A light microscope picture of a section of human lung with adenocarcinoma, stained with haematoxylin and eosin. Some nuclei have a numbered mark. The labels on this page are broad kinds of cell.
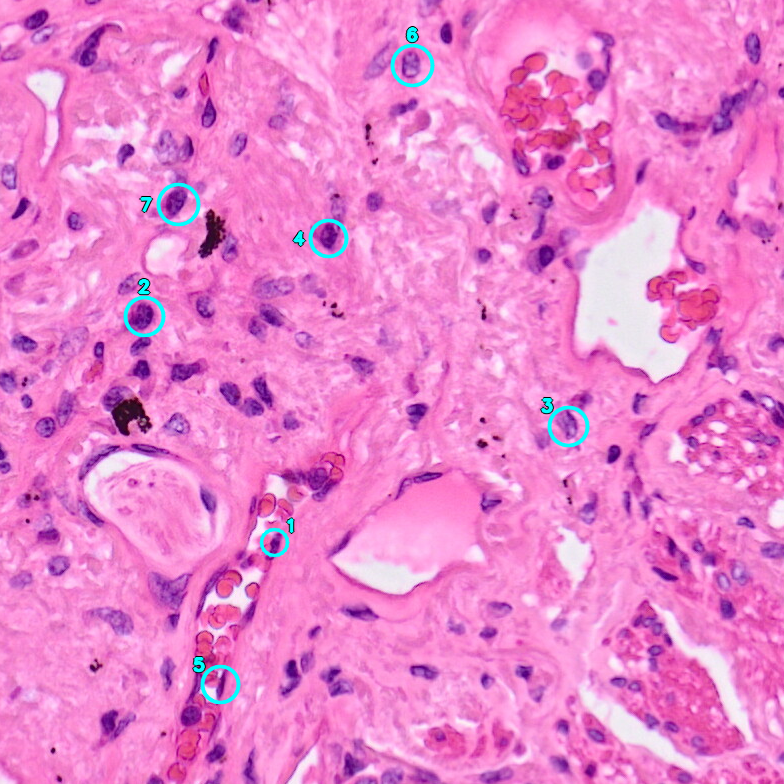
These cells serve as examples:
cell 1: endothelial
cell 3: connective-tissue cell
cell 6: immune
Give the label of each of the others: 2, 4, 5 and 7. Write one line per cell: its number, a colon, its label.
2: immune
4: immune
5: endothelial
7: immune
